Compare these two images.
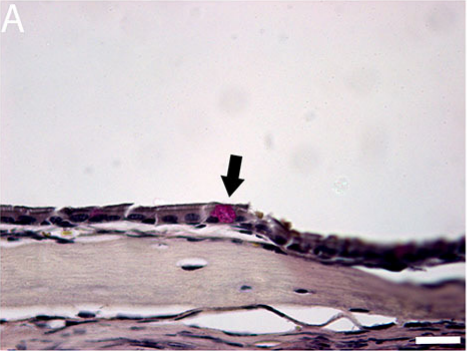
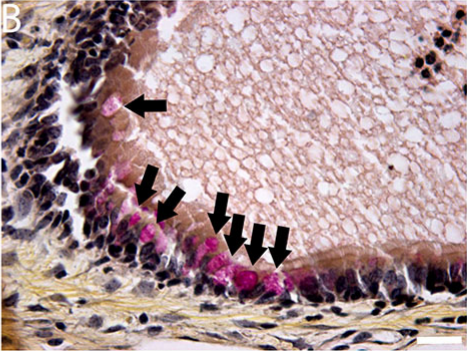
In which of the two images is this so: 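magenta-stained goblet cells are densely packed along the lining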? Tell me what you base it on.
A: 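Second image: many magenta-filled cells lie next to one another along the lining. First image: only one magenta-filled cell is seen in a long stretch of thin lining.
The second image.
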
